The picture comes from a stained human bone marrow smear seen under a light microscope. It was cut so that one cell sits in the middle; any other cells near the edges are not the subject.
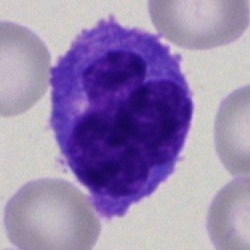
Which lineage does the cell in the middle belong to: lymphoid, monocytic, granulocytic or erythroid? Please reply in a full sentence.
Attributed to the monocytic lineage is the centrally located cell.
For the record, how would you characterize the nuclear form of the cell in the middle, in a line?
Two or more lobes make up the nucleus of this cell.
